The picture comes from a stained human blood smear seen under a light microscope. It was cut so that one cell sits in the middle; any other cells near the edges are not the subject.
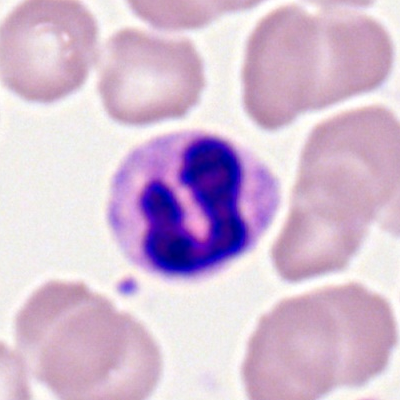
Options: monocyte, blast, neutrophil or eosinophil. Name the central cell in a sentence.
By type, the central cell of the crop is a neutrophil.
